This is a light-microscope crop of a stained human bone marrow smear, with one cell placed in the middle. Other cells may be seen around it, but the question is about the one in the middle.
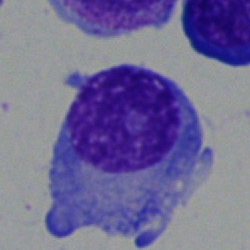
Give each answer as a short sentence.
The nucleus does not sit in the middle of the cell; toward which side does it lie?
Seen from the middle of the cell, the nucleus lies toward the top.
